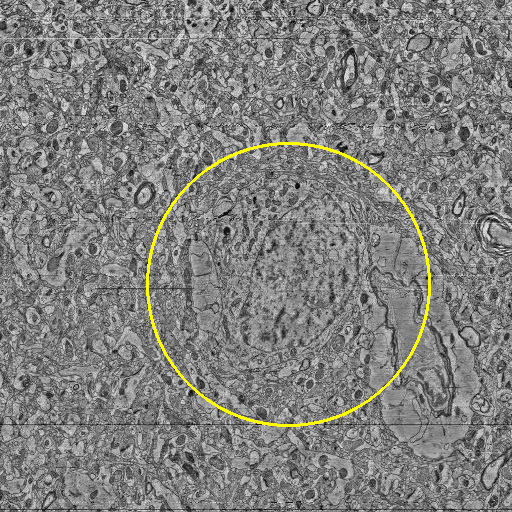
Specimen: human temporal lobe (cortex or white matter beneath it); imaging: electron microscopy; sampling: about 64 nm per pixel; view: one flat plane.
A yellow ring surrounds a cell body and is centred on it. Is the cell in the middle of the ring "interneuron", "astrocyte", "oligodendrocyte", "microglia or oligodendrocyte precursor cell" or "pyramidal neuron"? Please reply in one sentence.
The ring is centred on an interneuron.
